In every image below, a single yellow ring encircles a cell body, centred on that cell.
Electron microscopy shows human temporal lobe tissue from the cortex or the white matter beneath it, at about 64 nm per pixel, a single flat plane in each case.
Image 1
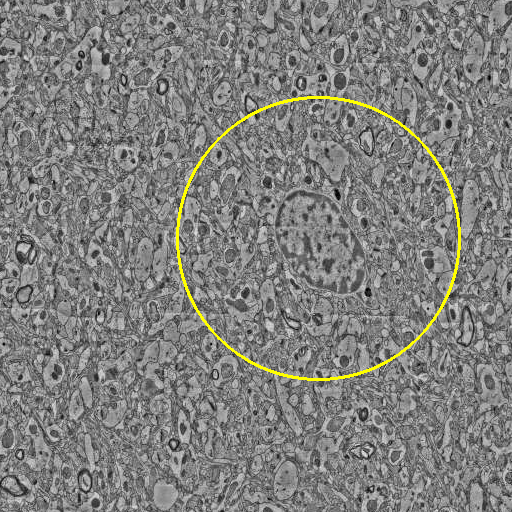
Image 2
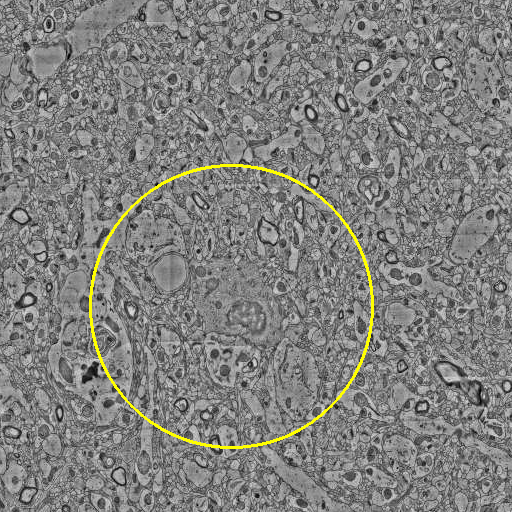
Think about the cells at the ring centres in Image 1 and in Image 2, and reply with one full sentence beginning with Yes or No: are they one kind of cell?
No, the cells centred in the rings of Image 1 and Image 2 are two kinds of cell.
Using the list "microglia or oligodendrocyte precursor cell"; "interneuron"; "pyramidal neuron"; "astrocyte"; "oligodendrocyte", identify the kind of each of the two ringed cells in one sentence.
The first is a microglial cell or oligodendrocyte precursor cell and the second is an oligodendrocyte.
